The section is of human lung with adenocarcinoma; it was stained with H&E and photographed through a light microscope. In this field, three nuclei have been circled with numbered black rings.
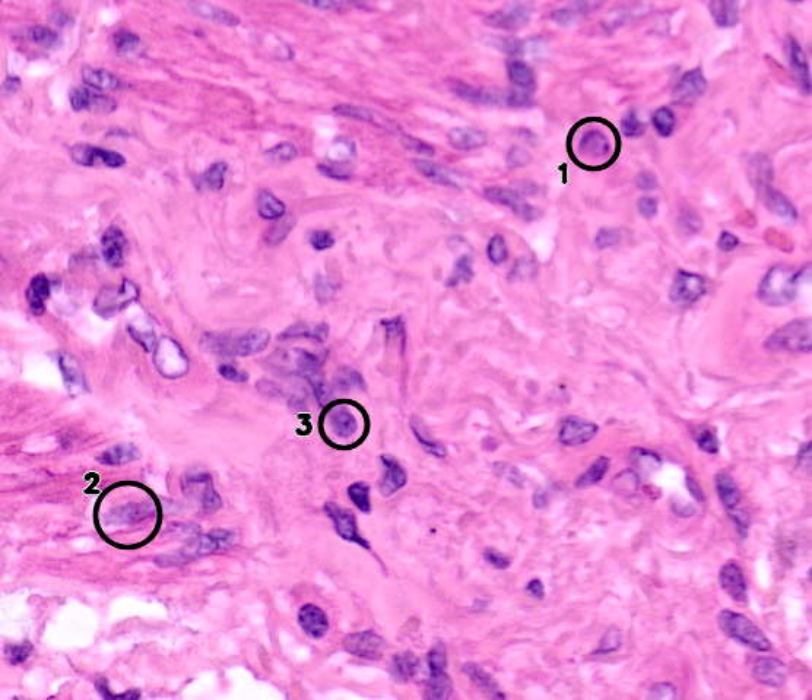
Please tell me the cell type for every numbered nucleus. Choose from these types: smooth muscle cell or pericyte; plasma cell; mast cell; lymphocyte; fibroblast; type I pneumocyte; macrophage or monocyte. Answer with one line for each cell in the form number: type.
1: mast cell
2: smooth muscle cell or pericyte
3: lymphocyte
